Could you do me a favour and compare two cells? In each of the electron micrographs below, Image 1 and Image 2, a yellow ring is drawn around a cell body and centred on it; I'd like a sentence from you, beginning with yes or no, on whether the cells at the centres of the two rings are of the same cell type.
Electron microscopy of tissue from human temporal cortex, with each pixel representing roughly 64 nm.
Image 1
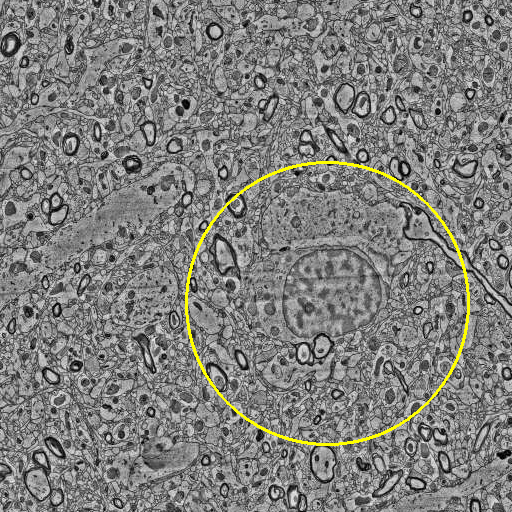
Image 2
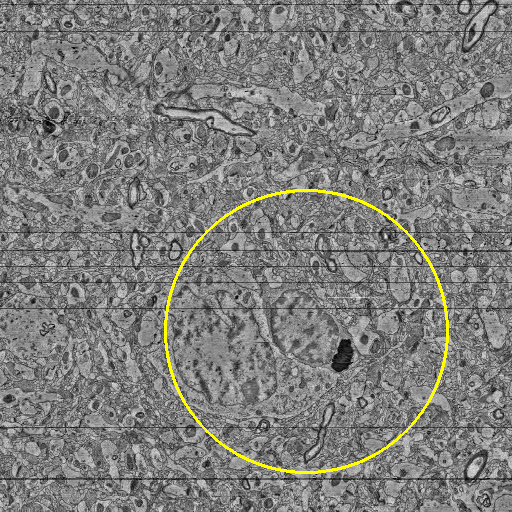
Yes, the two cells are of the same cell type.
